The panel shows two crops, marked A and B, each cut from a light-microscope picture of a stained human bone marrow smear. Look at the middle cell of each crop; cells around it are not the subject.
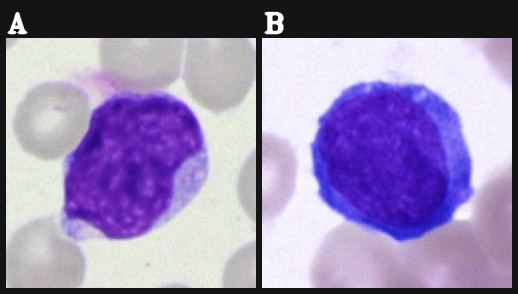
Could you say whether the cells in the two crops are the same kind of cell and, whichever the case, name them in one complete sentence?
Yes, in the middle of both crops, blasts are shown.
